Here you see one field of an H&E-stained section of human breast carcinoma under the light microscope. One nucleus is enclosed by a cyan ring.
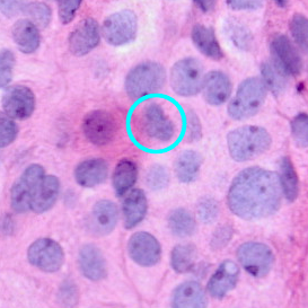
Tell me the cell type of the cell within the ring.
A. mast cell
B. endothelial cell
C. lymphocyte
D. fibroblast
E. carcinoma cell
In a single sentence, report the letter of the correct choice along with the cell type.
The proper choice here is E: the cell within the ring is a carcinoma cell.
